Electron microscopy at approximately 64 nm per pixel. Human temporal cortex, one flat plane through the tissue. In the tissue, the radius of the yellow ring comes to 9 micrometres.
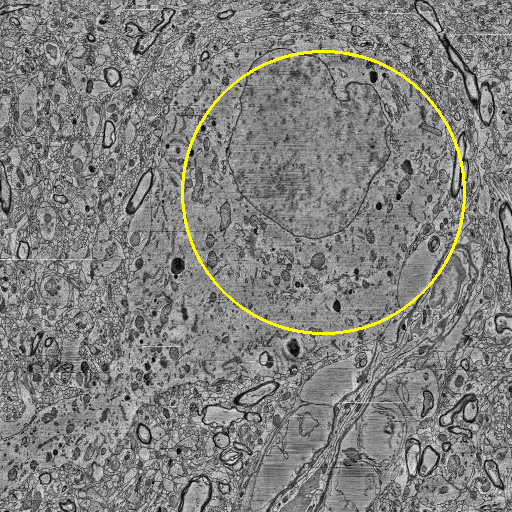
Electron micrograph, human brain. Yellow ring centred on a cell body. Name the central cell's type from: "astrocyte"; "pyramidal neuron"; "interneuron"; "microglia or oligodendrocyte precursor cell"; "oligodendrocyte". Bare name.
pyramidal neuron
